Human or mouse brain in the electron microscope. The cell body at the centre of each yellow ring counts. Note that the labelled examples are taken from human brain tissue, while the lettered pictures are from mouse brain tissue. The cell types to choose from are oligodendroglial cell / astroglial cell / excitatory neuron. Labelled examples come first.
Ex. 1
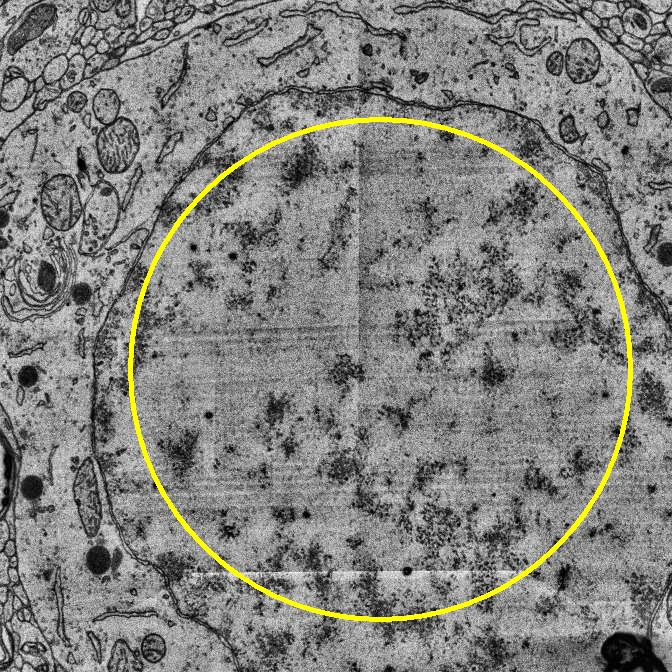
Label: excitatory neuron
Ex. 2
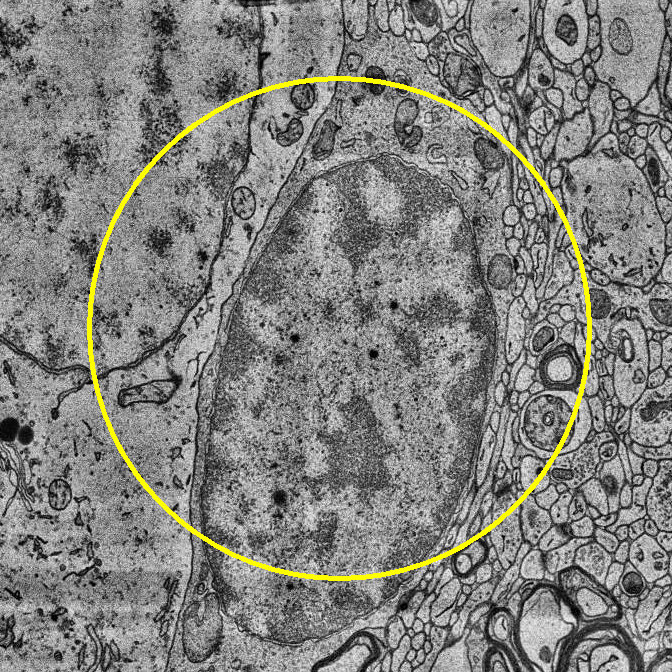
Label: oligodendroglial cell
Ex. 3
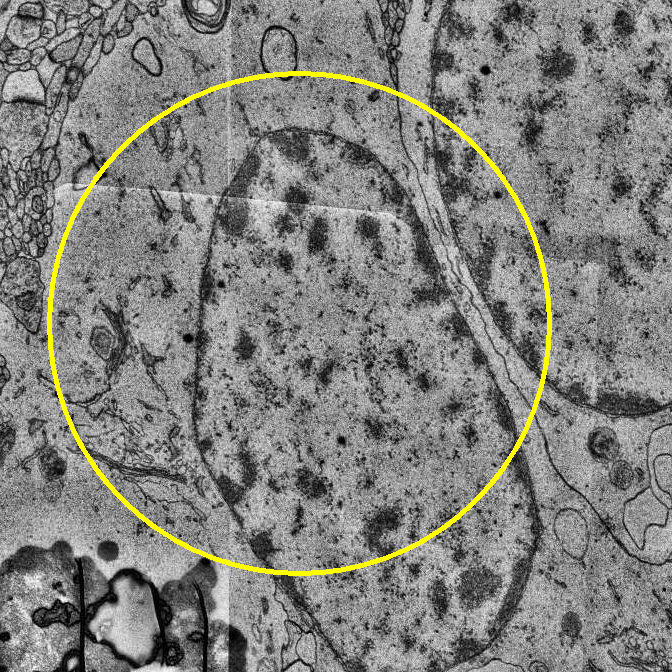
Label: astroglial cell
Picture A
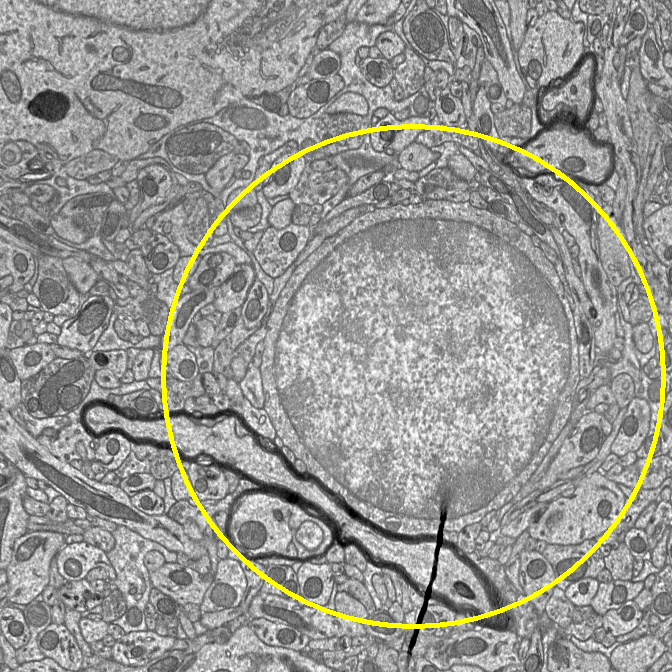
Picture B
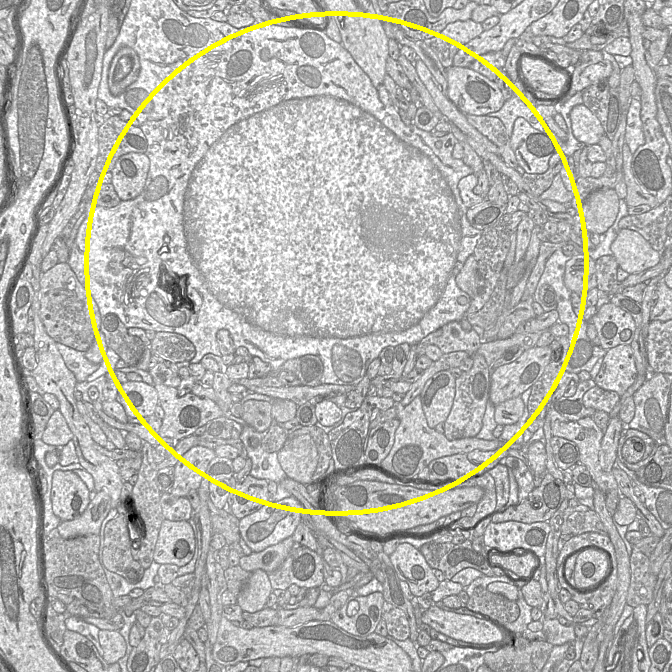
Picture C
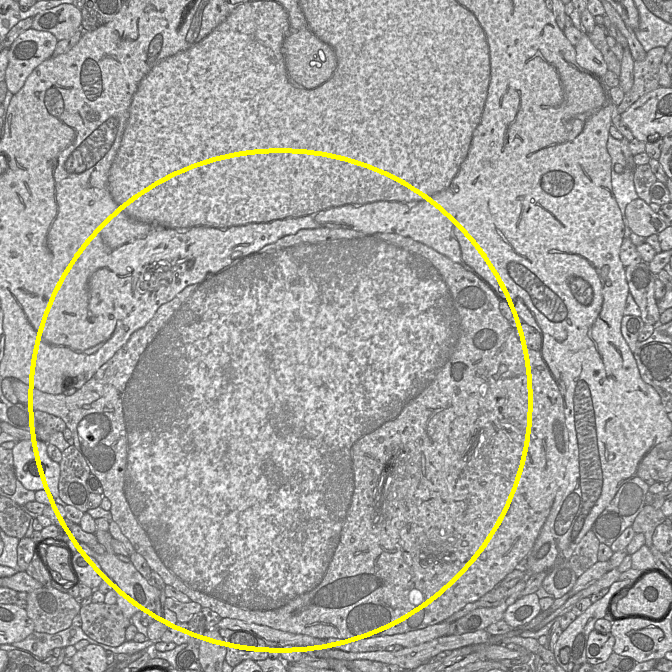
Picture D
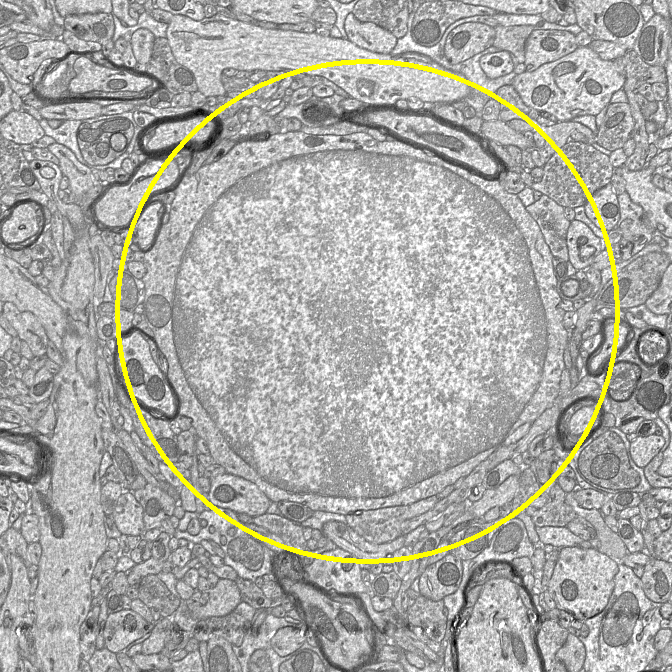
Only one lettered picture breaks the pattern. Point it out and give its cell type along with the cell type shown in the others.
Picture B: astroglial cell. All others: oligodendroglial cell.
